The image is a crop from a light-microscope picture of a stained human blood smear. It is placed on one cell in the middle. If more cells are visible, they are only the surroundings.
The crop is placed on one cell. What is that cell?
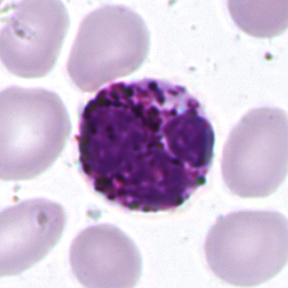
basophil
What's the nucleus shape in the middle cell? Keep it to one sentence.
Look at the nucleus and you will find it divided into two or more lobes.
